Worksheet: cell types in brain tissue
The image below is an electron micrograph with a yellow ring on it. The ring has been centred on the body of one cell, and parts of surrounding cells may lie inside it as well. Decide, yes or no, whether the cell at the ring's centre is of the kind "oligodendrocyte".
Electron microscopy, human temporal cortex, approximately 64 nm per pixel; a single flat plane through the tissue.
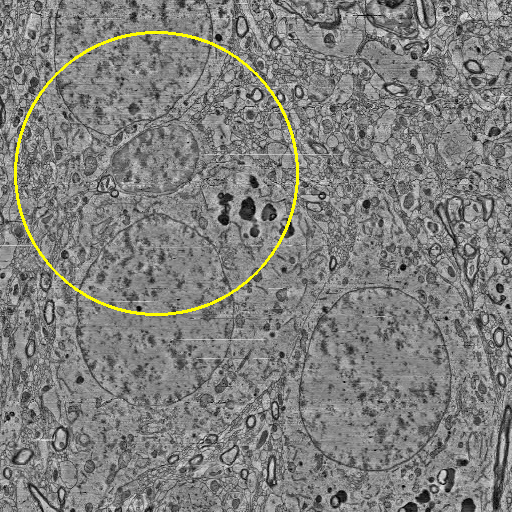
yes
